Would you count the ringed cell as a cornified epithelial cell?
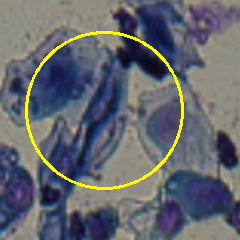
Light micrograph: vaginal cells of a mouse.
Yes, I would count it as a cornified epithelial cell.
